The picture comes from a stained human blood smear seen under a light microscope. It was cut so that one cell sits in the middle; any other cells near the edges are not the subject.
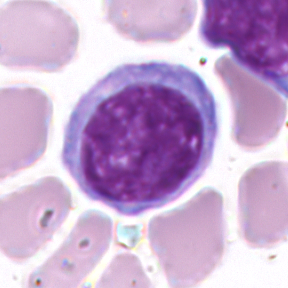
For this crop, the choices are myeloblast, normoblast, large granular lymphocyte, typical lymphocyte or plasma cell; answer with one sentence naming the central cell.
This crop has a plasma cell at its centre.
